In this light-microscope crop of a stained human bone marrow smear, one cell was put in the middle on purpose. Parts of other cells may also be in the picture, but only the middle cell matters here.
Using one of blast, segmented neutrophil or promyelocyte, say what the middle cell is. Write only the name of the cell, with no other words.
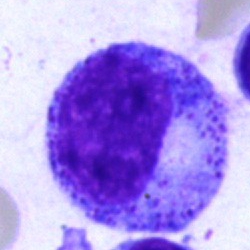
promyelocyte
